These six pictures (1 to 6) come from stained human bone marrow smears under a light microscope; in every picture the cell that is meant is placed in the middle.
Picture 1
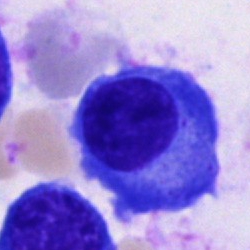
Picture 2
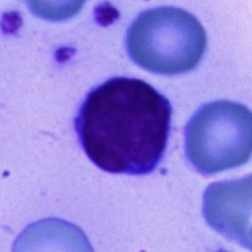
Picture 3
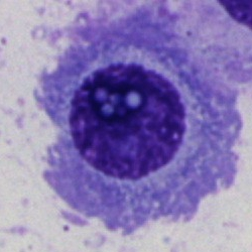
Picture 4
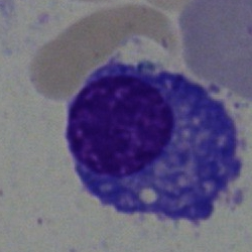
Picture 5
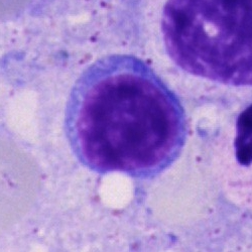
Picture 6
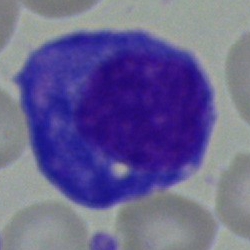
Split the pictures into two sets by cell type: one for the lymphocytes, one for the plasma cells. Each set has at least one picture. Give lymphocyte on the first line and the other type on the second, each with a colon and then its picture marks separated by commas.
lymphocyte: 2, 5
plasma cell: 1, 3, 4, 6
